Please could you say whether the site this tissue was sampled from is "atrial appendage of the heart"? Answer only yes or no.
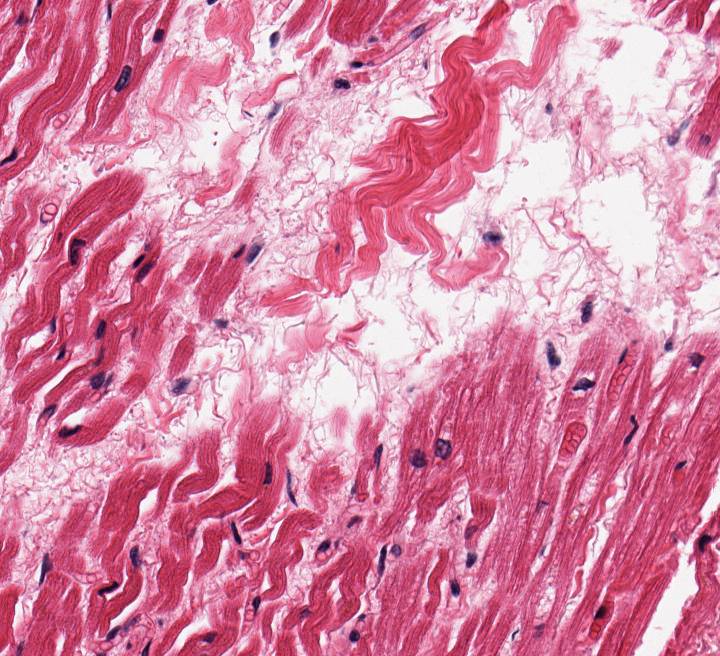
yes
